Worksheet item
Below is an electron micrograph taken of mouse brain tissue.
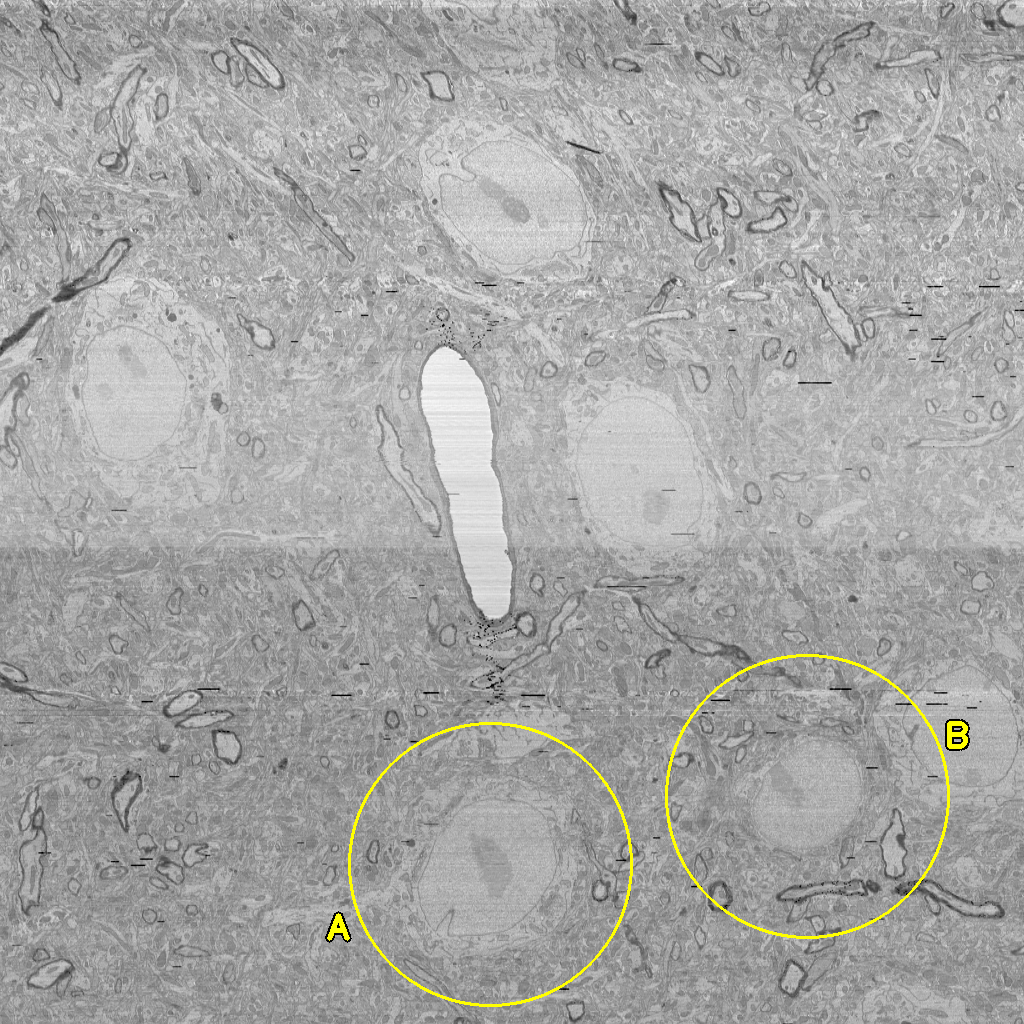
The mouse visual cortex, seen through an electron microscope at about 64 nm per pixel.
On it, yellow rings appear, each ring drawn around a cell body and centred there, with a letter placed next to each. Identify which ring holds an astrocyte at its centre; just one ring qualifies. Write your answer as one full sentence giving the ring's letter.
Ring B has the cell asked for right at its centre in the picture.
